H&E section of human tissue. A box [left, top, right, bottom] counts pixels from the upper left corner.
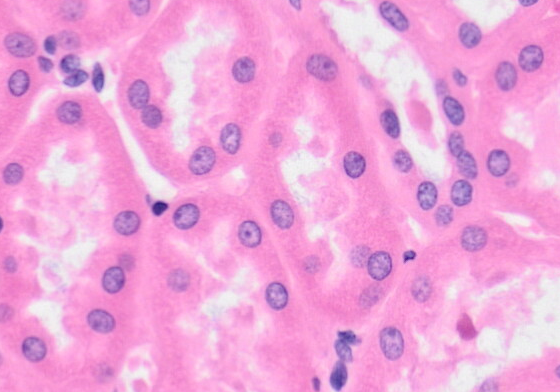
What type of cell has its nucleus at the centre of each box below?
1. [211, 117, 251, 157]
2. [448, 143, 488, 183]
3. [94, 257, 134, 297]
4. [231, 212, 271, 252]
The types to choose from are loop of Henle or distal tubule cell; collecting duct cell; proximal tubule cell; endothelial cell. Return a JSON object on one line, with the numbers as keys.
{"1": "proximal tubule cell", "2": "collecting duct cell", "3": "proximal tubule cell", "4": "proximal tubule cell"}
